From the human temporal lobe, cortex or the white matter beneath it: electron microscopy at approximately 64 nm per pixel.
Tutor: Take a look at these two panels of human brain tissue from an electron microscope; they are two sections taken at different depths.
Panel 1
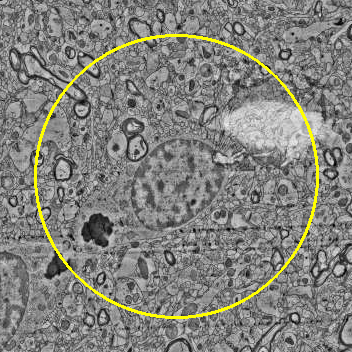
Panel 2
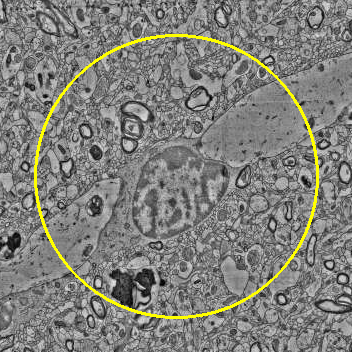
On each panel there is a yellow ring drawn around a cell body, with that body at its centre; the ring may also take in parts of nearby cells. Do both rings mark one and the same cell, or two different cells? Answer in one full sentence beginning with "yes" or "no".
Yes, the same cell appears within both yellow rings.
